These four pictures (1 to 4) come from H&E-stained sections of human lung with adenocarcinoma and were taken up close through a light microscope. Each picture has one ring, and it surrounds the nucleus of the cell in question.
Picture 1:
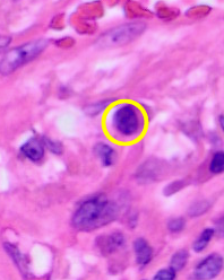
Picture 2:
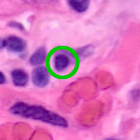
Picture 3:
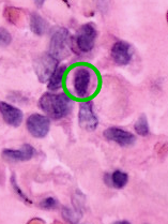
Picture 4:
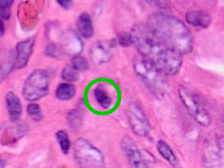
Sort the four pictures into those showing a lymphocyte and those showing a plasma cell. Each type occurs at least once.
1: plasma cell
2: lymphocyte
3: plasma cell
4: lymphocyte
